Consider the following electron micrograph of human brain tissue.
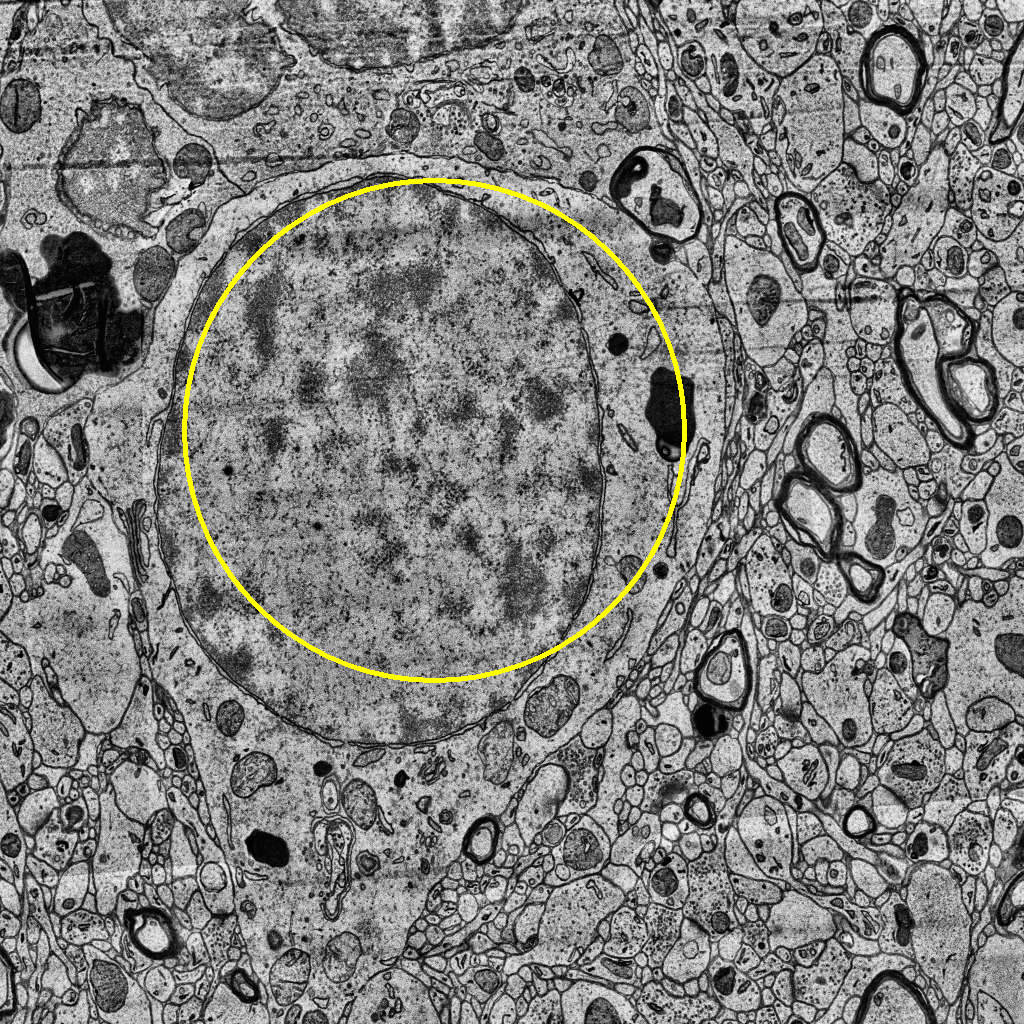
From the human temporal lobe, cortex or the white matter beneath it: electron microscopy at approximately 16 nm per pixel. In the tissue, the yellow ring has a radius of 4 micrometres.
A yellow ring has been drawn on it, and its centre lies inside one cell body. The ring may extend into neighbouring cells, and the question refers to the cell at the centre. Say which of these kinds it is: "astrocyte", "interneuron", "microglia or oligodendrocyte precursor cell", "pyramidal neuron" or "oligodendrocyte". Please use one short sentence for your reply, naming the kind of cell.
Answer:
The centre of the ring falls on an interneuron.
